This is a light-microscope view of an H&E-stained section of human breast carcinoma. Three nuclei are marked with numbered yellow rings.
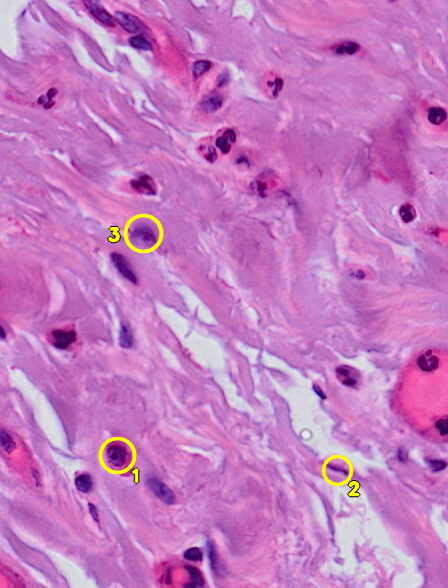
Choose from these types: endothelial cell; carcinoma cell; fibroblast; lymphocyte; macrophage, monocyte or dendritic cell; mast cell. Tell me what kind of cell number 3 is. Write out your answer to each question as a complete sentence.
The numbered cell 3 is identified here as a fibroblast.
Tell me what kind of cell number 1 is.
The cell carrying label 1 is identified as a mast cell.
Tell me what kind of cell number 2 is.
To a fibroblast belongs the nucleus marked 2.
